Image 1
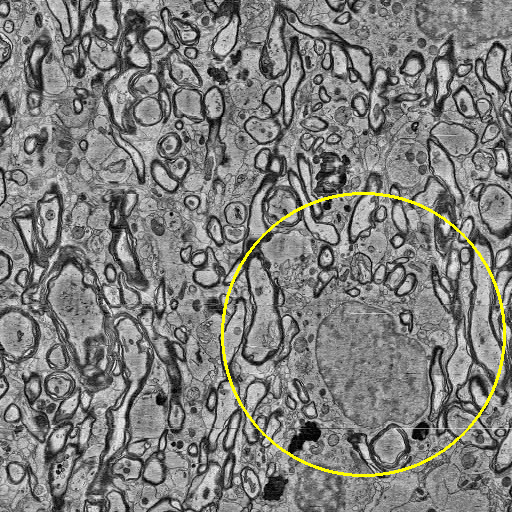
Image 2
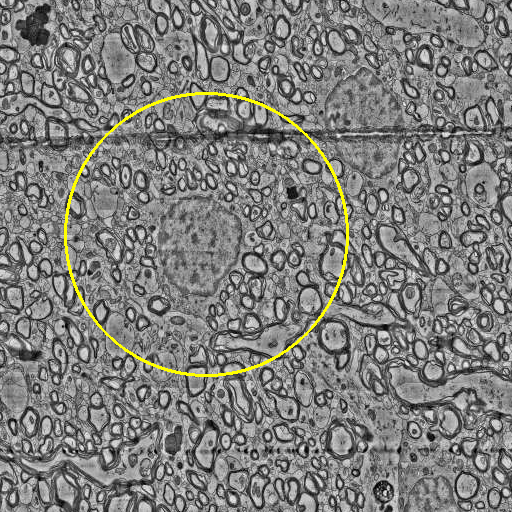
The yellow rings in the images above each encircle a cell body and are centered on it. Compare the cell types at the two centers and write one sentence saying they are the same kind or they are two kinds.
Taken together, the two cells at the ring centers are the same kind.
